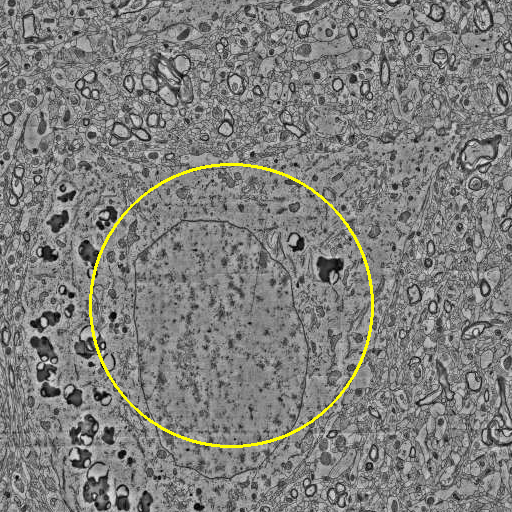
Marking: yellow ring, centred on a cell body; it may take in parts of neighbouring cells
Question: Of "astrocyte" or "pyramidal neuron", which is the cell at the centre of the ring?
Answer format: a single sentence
The ring surrounds the body of a pyramidal neuron.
